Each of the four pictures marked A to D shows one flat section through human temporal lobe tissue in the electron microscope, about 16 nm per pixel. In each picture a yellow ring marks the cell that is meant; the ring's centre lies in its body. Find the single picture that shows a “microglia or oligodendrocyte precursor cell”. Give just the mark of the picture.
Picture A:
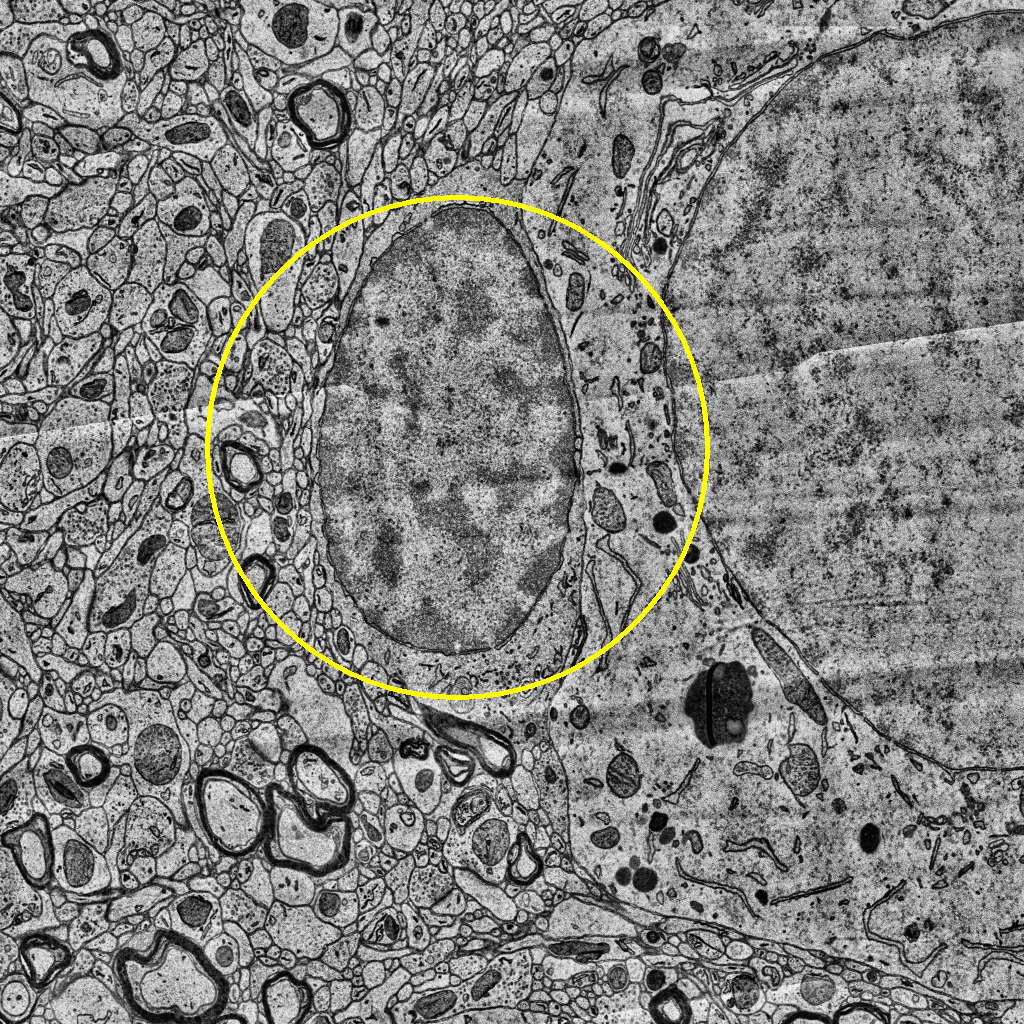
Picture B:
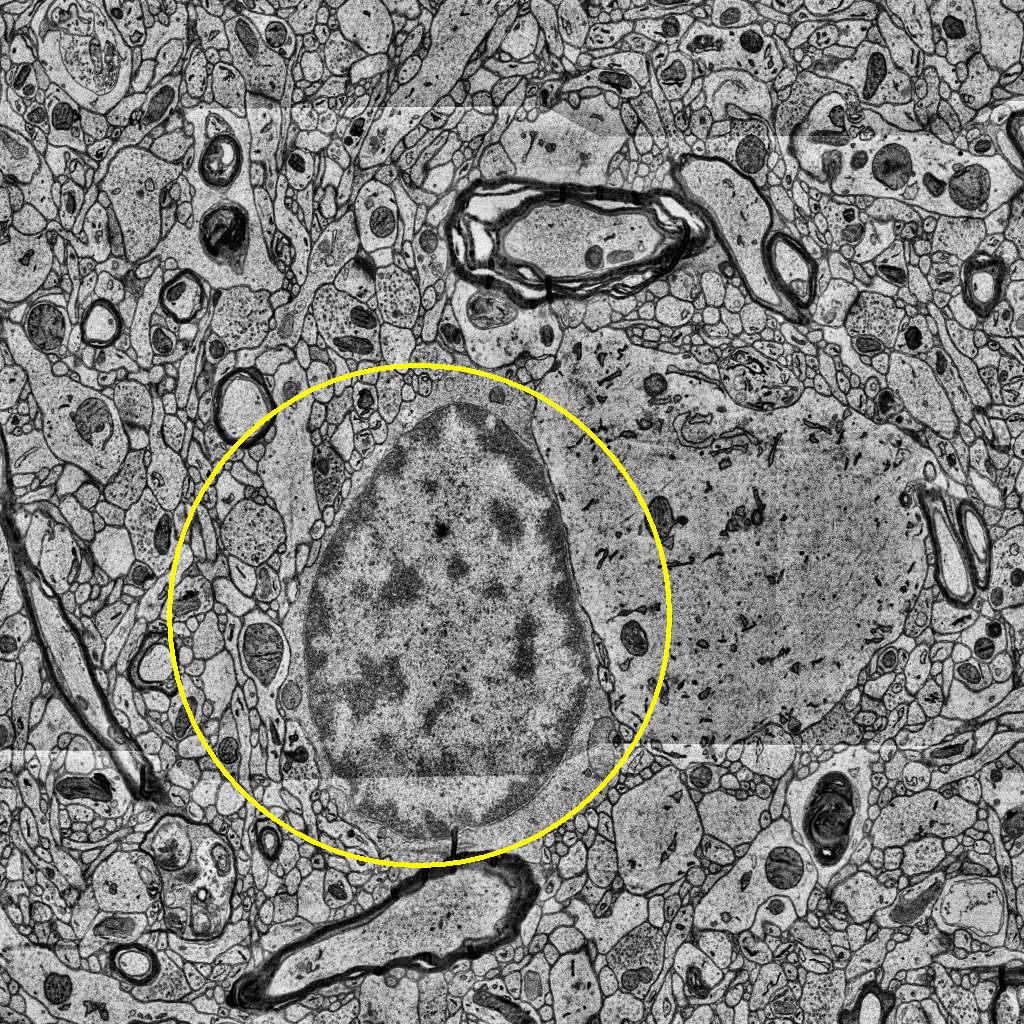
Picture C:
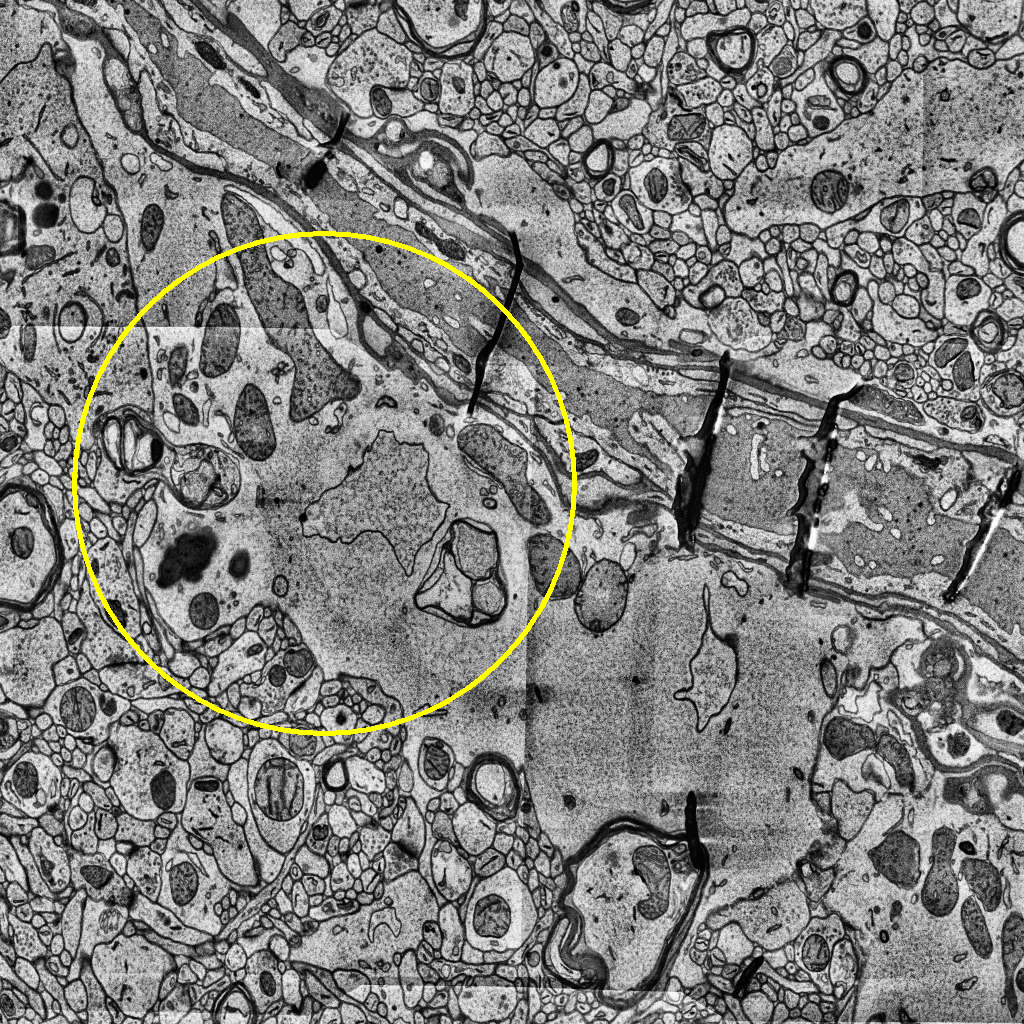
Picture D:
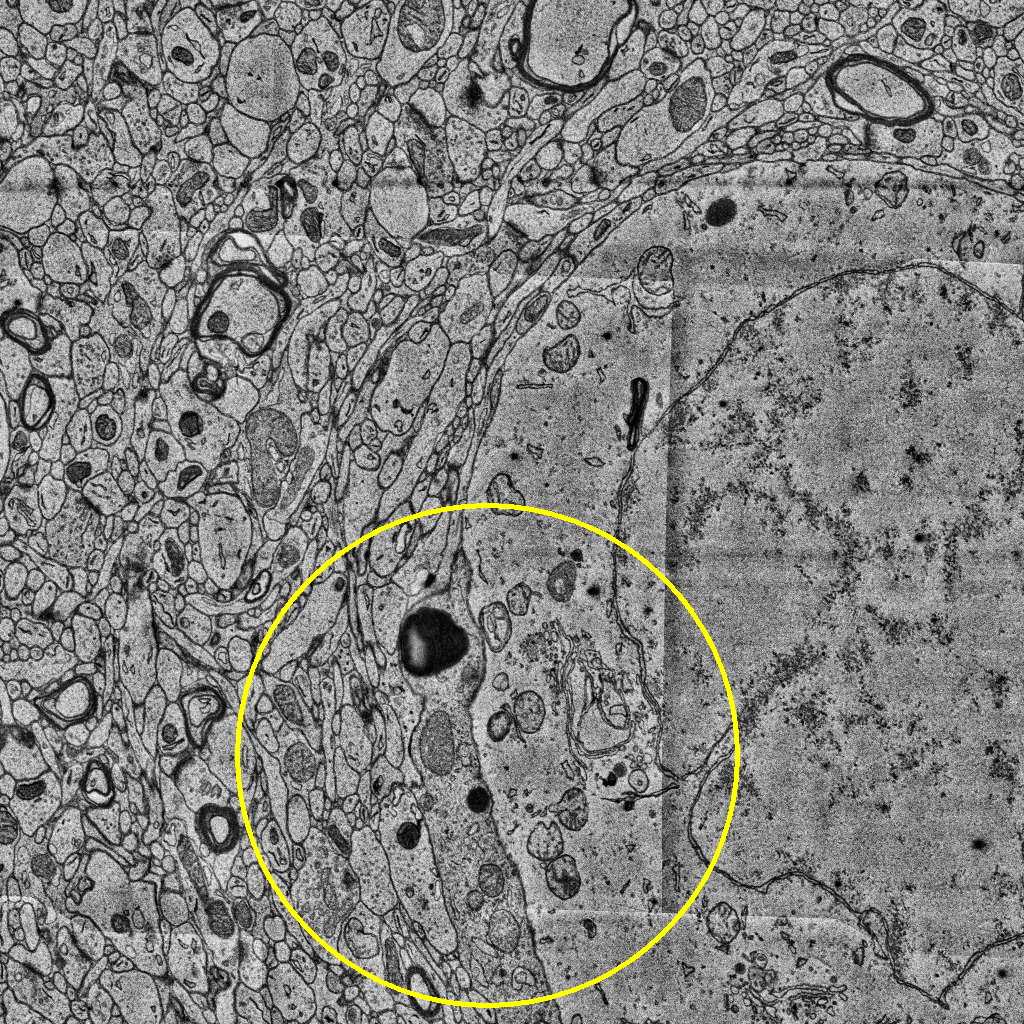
C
